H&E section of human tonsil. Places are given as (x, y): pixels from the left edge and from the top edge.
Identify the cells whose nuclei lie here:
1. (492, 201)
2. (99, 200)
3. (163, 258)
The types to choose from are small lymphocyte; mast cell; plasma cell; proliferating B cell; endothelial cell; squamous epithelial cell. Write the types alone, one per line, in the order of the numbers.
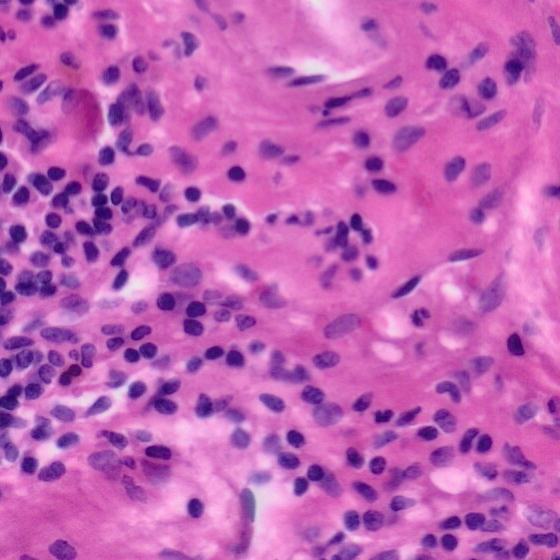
endothelial cell
small lymphocyte
endothelial cell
